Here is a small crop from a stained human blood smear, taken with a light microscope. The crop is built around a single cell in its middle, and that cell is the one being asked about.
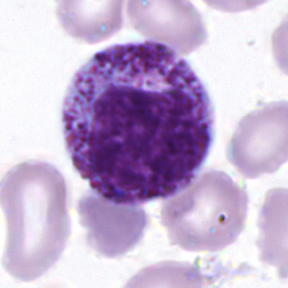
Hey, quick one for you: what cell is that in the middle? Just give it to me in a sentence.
The cell at the heart of this crop is a myelocyte.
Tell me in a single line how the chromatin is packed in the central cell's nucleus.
Its nuclear chromatin is gathered into coarse clumps.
